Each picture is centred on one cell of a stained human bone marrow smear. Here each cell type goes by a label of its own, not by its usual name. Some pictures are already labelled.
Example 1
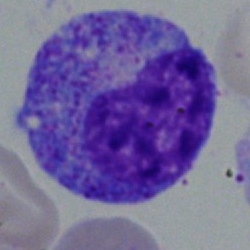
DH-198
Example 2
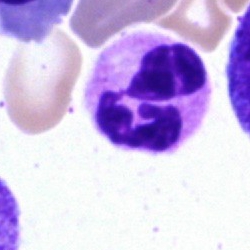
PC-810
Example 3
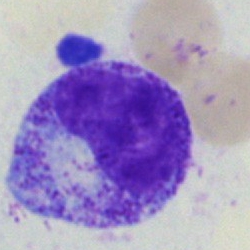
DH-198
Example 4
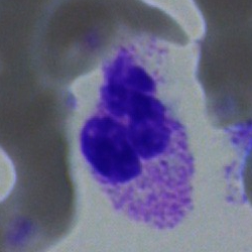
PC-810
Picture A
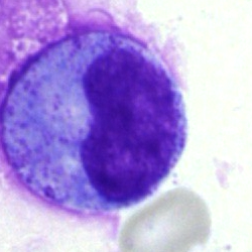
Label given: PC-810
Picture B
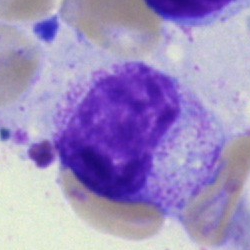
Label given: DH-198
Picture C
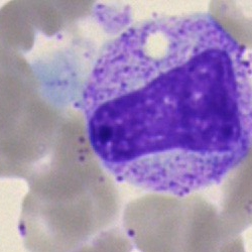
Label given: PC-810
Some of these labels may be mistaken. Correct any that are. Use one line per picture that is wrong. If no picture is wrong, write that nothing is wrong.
A is labelled PC-810; correct label: DH-198
C is labelled PC-810; correct label: DH-198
